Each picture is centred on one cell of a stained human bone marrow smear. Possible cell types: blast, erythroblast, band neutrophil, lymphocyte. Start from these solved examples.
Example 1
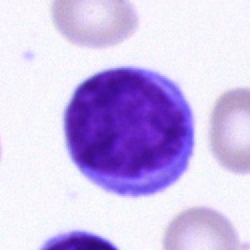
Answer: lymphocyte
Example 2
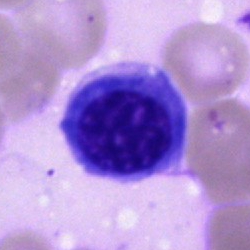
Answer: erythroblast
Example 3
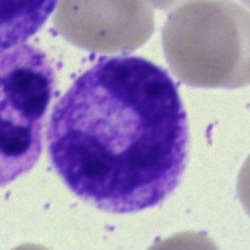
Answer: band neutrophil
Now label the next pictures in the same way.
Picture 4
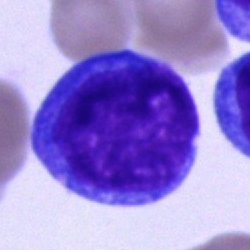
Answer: blast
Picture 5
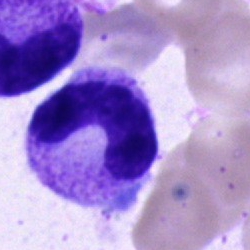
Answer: band neutrophil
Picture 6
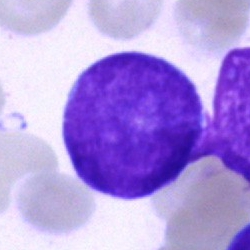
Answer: blast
